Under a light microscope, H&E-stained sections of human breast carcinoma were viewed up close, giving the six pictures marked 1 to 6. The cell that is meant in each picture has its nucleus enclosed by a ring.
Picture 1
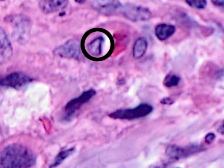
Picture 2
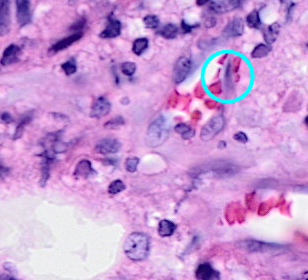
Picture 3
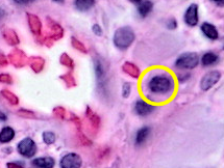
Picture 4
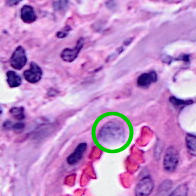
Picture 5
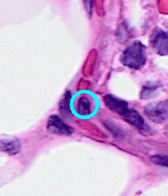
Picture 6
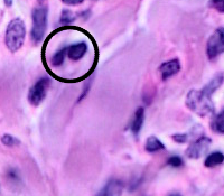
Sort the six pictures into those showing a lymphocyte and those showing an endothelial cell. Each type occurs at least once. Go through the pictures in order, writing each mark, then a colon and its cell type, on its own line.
1: endothelial cell
2: endothelial cell
3: lymphocyte
4: endothelial cell
5: endothelial cell
6: lymphocyte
